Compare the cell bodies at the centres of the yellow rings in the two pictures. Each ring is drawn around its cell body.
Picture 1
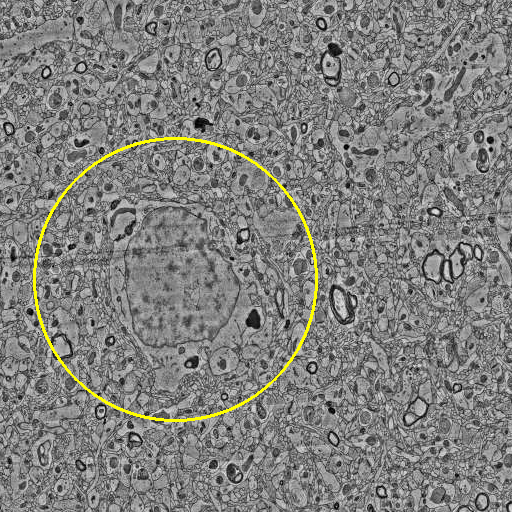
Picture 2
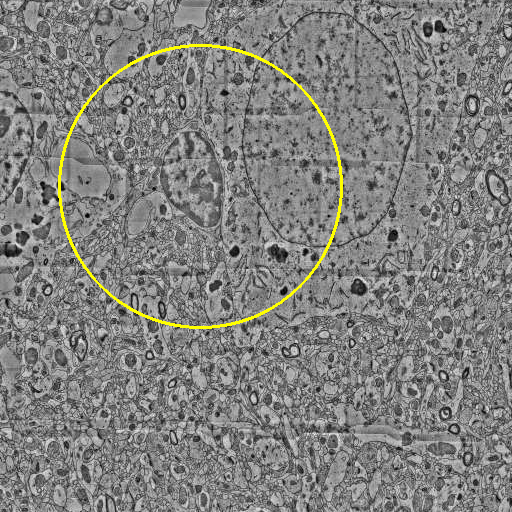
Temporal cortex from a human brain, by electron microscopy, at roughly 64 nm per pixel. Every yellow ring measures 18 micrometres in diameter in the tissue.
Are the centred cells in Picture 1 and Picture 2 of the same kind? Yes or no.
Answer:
no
